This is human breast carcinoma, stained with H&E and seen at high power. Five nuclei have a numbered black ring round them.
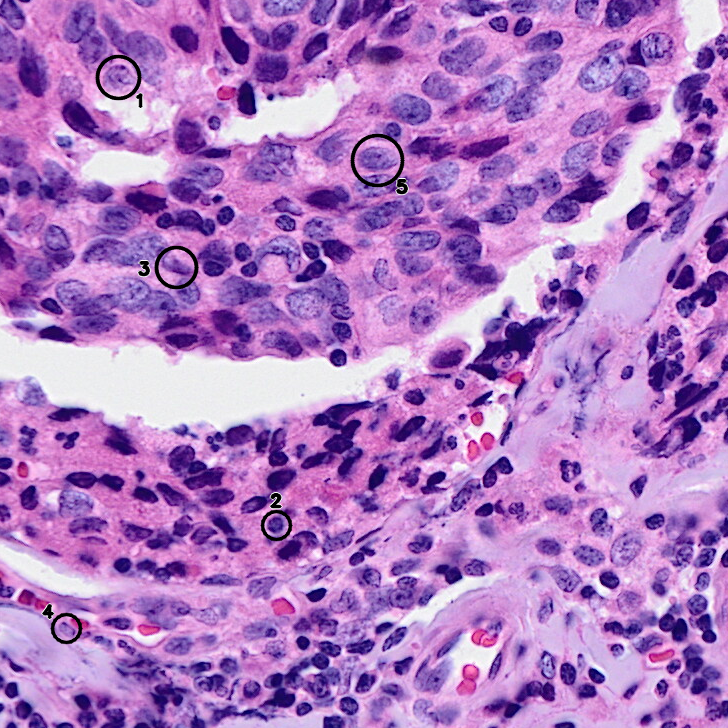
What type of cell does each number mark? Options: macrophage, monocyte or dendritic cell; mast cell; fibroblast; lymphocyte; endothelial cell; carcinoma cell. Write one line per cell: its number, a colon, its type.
1: carcinoma cell
2: lymphocyte
3: carcinoma cell
4: endothelial cell
5: carcinoma cell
